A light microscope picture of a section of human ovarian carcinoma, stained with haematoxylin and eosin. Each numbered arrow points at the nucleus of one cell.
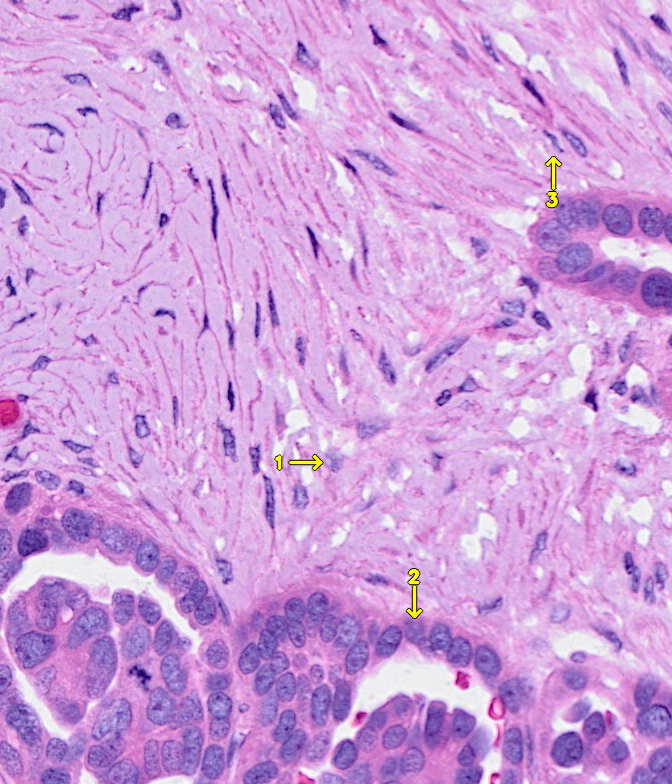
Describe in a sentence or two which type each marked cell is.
Cell 1 is a fibroblast, cell 2 is a carcinoma cell and cell 3 is a fibroblast.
